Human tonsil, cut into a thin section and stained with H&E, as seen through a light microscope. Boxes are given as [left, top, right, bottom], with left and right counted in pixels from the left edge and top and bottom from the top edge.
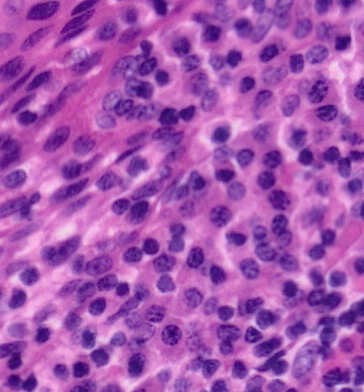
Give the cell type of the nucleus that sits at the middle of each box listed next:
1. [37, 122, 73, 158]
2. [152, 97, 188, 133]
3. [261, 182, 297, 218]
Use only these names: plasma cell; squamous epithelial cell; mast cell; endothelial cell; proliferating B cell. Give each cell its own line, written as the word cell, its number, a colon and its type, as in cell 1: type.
cell 1: squamous epithelial cell
cell 2: plasma cell
cell 3: plasma cell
